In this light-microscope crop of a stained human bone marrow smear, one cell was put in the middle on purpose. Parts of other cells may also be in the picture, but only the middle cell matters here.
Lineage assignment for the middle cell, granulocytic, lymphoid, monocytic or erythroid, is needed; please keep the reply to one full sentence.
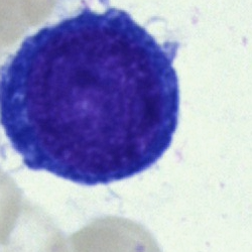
The cell in the middle of the crop belongs to the erythroid lineage.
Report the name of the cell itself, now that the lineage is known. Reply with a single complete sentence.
The cell in the middle of the field of view is a proerythroblast.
